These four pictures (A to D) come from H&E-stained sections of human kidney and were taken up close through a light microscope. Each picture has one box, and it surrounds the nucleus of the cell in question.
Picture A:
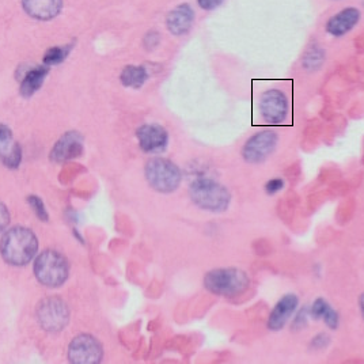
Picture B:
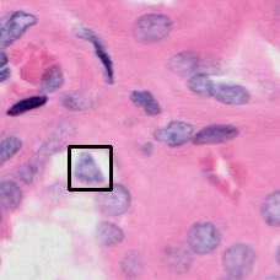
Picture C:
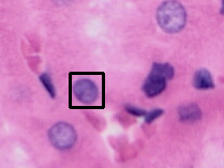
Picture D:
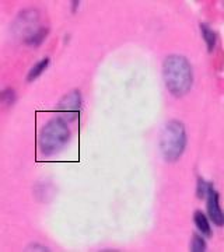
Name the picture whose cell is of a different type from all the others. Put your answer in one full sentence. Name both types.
The others show “loop of Henle or distal tubule cells”, but picture C shows a proximal tubule cell.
